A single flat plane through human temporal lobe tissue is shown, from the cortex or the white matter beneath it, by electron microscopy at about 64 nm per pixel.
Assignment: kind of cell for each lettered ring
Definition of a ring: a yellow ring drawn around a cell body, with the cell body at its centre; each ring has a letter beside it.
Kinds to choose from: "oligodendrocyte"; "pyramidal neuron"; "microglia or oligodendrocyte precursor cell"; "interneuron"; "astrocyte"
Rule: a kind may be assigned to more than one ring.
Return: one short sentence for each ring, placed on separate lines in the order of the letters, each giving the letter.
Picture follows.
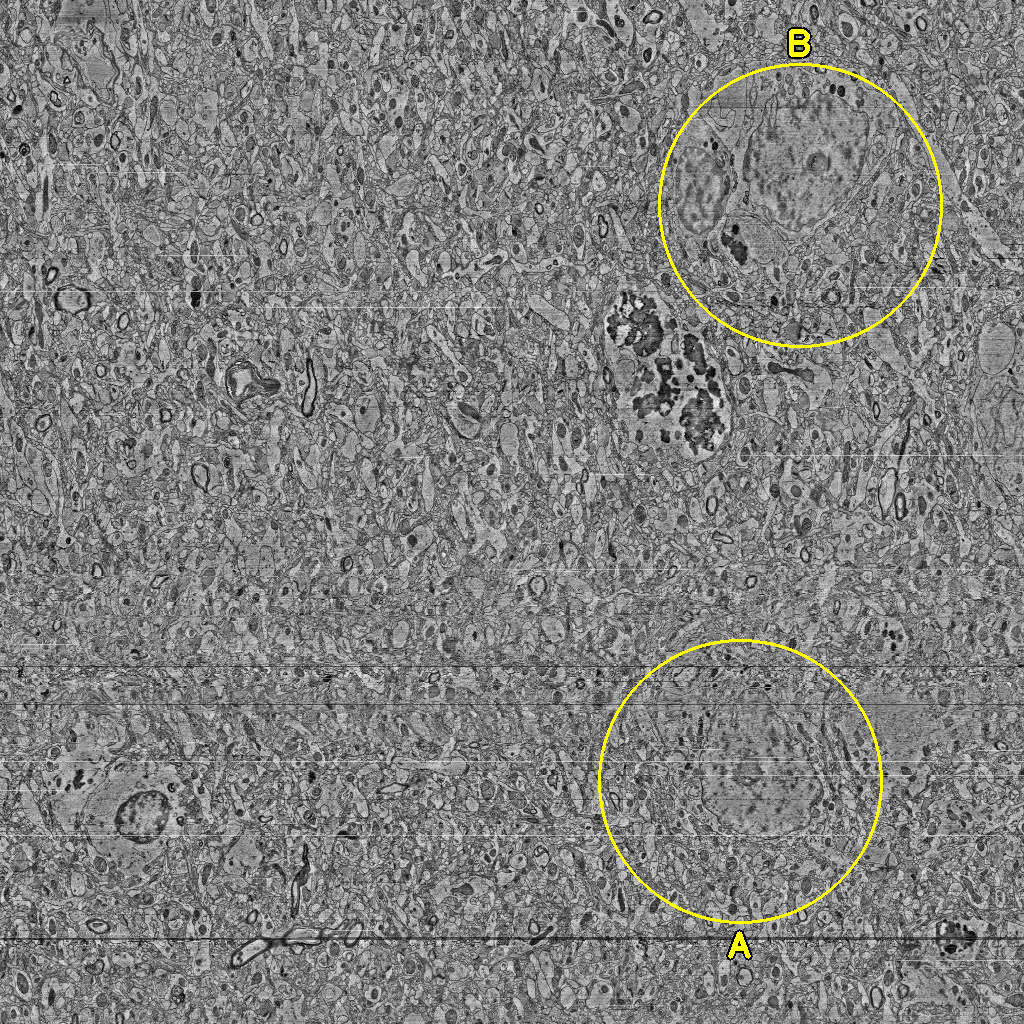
The ring marked A is centred on an interneuron.
The ring marked B is centred on an interneuron.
